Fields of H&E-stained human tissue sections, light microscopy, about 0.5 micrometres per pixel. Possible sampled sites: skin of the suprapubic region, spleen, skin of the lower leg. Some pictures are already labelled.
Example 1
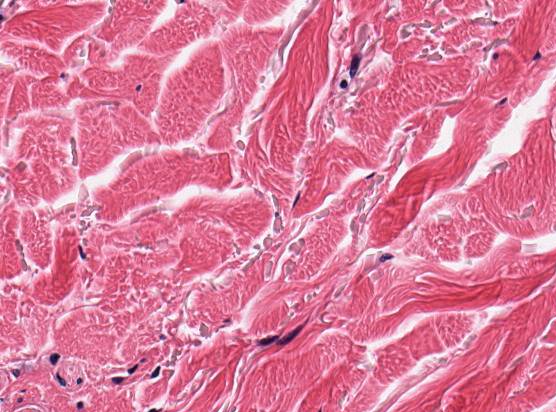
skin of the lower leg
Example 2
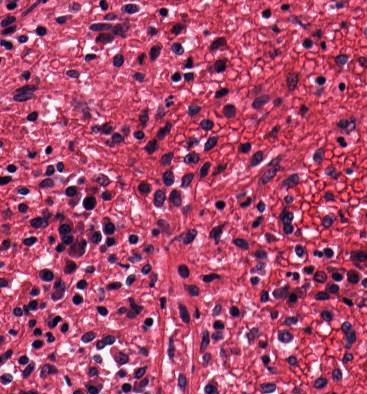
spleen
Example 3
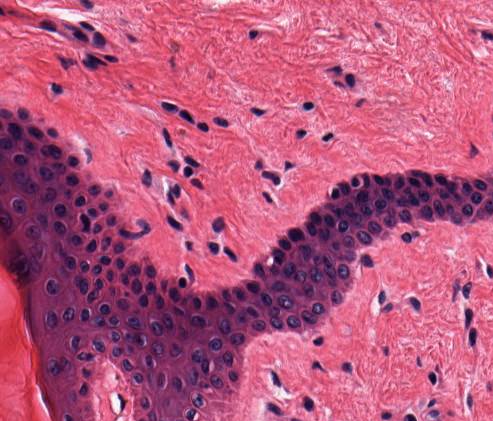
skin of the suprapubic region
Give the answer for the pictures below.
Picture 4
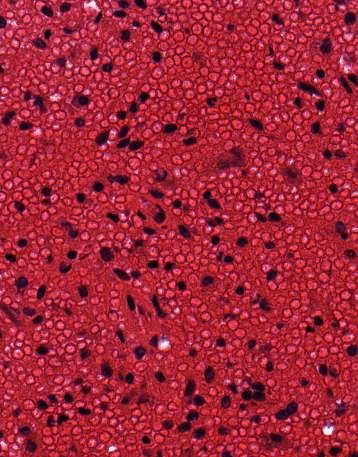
spleen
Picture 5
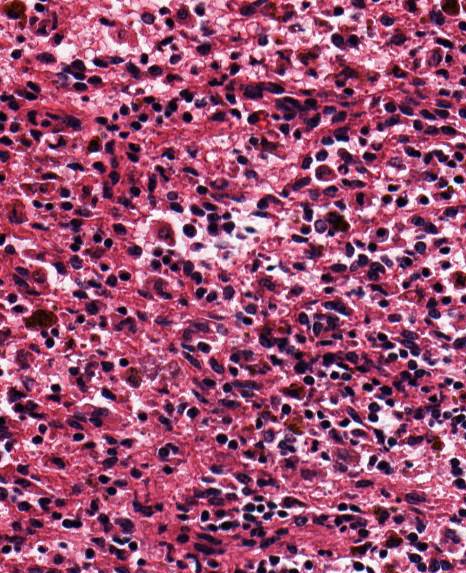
spleen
